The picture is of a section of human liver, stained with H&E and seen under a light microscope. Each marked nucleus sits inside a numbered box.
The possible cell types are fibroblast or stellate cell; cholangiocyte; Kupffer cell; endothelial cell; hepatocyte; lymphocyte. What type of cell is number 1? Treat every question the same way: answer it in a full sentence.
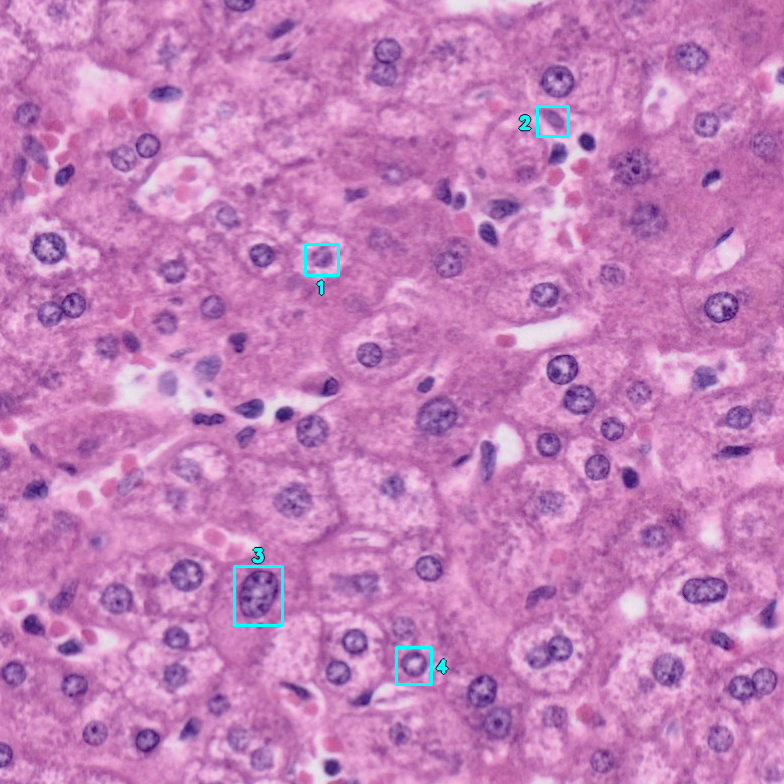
The cell identified by the number 1 is a hepatocyte.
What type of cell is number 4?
The cell that is numbered 4 is a hepatocyte.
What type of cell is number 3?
The numbered cell 3 in this field is a hepatocyte.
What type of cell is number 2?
In the tissue shown, cell 2 is a Kupffer cell.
